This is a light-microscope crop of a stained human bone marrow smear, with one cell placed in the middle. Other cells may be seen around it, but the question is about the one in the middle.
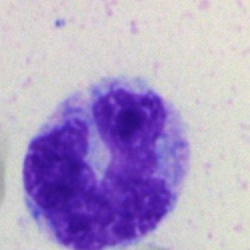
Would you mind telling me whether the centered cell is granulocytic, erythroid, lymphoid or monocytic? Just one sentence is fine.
The central cell in this crop should be counted within the monocytic lineage.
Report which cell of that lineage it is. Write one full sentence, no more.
The middle of this crop holds a monocyte.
